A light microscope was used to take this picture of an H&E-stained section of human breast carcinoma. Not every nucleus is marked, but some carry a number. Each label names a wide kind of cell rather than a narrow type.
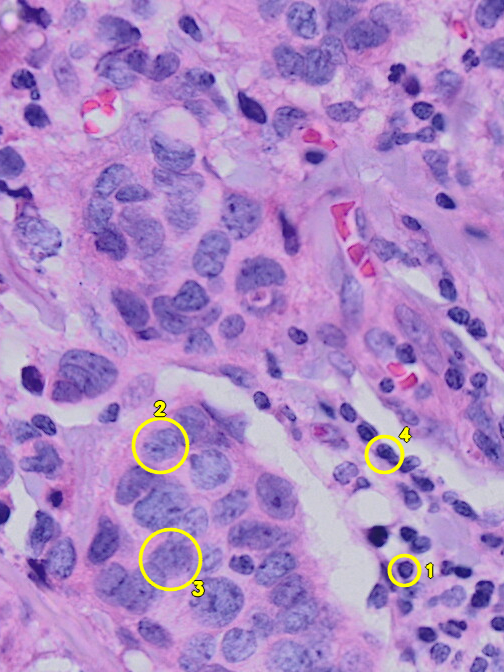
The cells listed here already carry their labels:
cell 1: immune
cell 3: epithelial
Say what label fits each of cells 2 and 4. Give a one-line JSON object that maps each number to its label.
{"2": "epithelial", "4": "immune"}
